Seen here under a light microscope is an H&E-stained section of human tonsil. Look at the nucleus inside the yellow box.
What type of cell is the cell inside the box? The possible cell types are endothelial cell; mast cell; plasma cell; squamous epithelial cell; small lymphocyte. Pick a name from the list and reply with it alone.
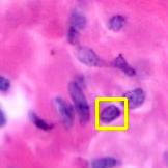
mast cell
